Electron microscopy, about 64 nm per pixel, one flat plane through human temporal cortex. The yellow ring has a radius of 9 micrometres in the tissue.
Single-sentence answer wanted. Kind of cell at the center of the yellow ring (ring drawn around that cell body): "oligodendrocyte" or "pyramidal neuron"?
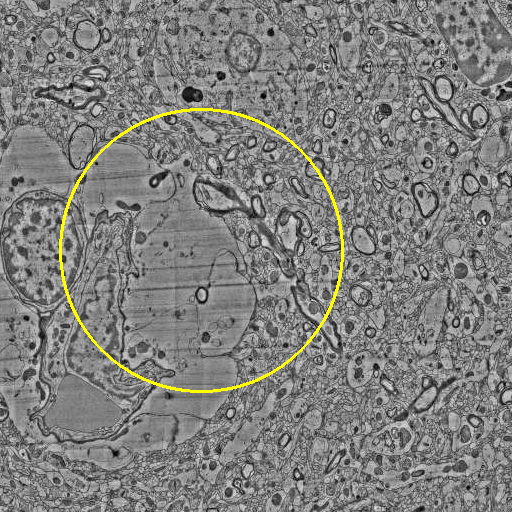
The cell centered in the ring is an oligodendrocyte.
